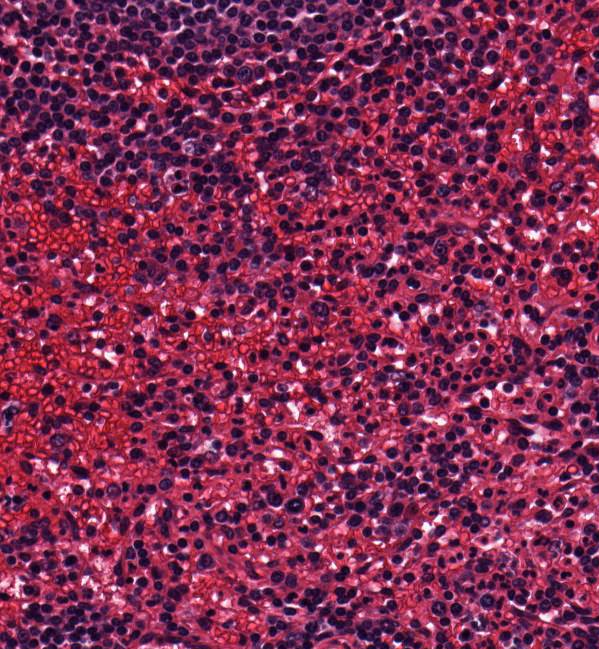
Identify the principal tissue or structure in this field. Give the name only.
red pulp of the spleen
